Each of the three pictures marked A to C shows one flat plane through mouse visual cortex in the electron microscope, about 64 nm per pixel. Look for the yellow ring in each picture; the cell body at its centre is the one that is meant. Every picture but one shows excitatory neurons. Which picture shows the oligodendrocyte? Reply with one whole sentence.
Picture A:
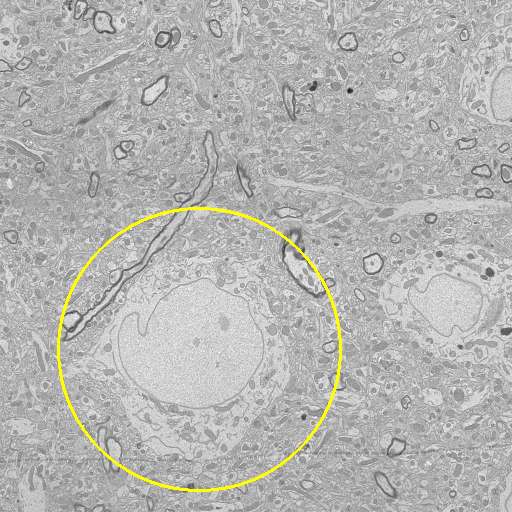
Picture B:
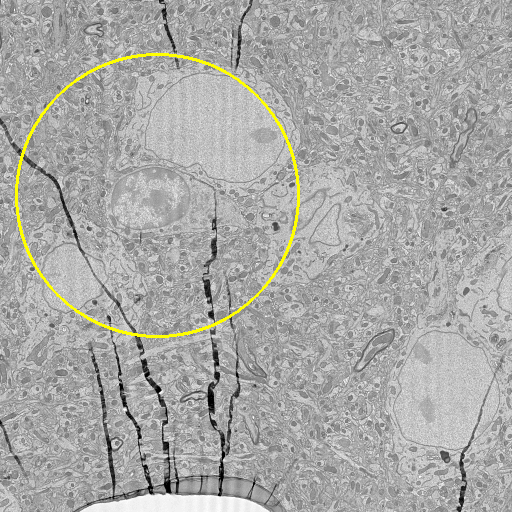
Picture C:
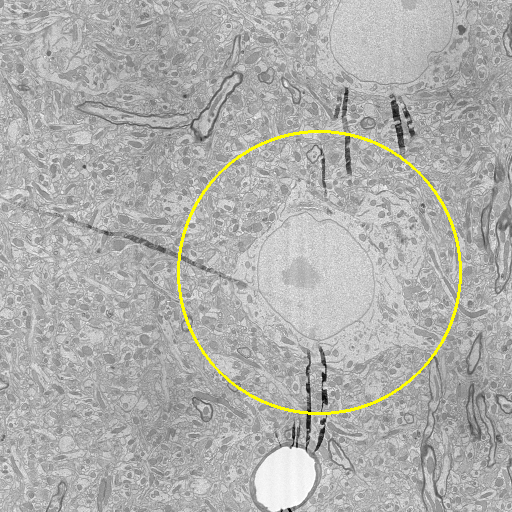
The cell in picture B is the oligodendrocyte.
